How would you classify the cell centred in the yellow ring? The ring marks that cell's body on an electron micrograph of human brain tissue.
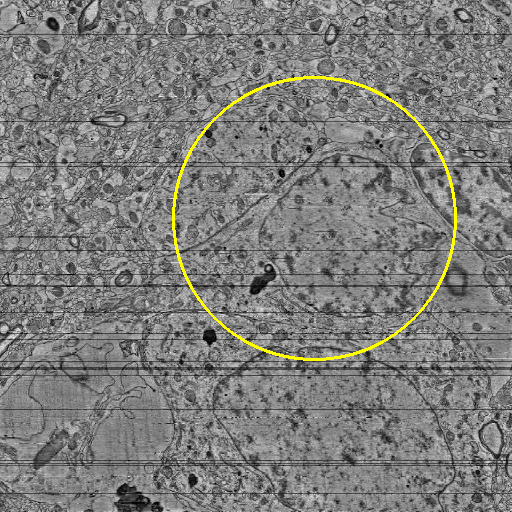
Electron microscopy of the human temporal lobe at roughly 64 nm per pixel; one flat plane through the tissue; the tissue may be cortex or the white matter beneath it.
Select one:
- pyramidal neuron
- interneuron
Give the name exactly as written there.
interneuron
